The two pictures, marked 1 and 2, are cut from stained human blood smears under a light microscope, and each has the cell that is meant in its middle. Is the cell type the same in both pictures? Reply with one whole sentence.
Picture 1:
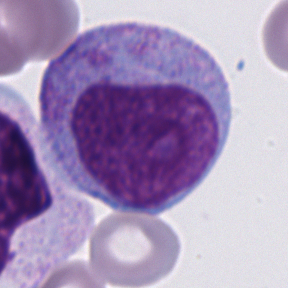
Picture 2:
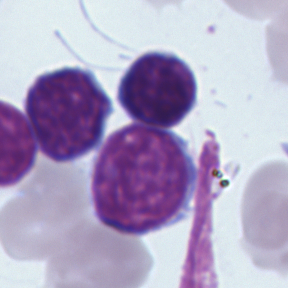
No. Picture 1 shows a promyelocyte, but picture 2 shows a myeloblast.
